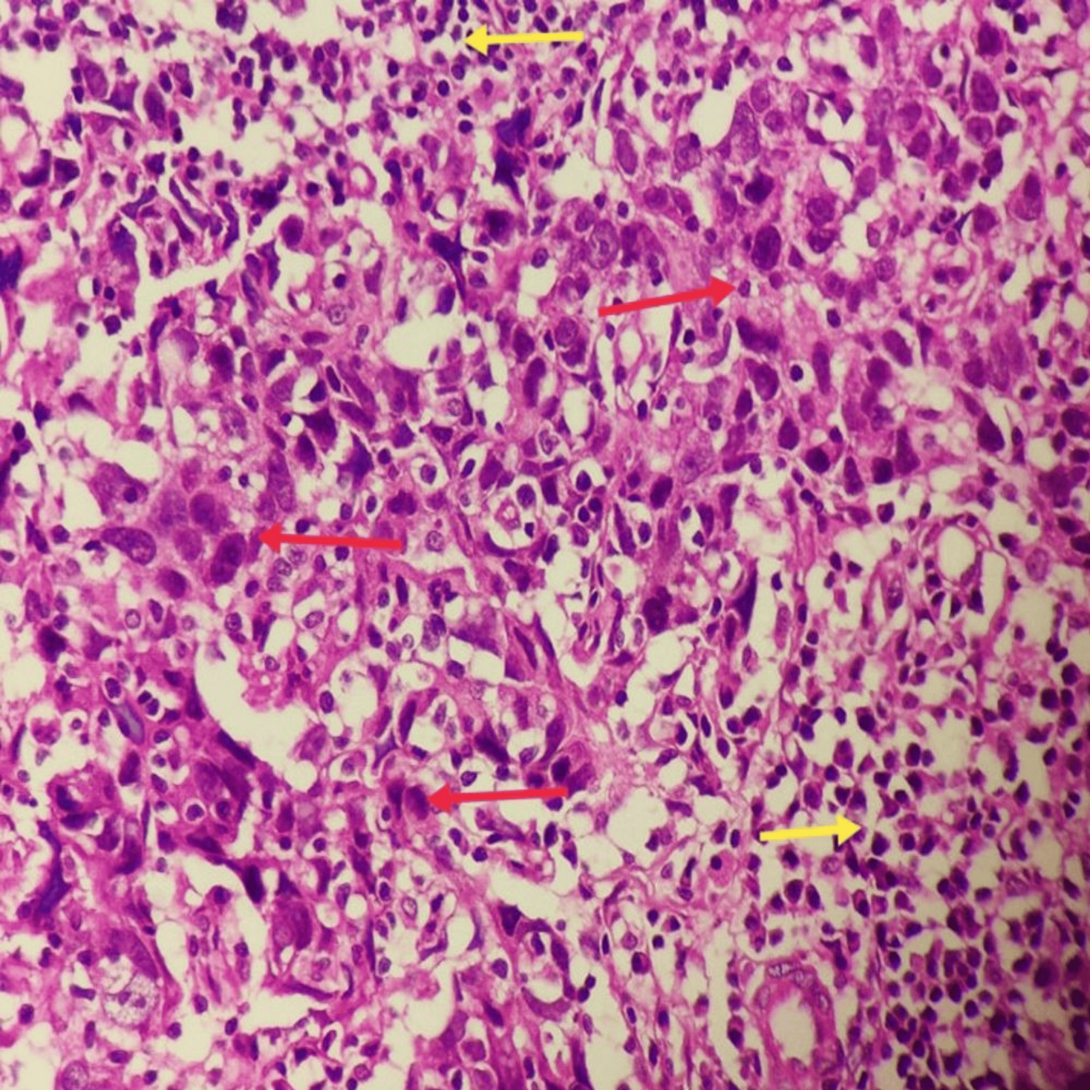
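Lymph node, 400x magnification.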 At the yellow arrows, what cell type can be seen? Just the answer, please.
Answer: Lymphoid cells.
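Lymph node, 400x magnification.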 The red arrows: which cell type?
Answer: poorly differentiated tumor cells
